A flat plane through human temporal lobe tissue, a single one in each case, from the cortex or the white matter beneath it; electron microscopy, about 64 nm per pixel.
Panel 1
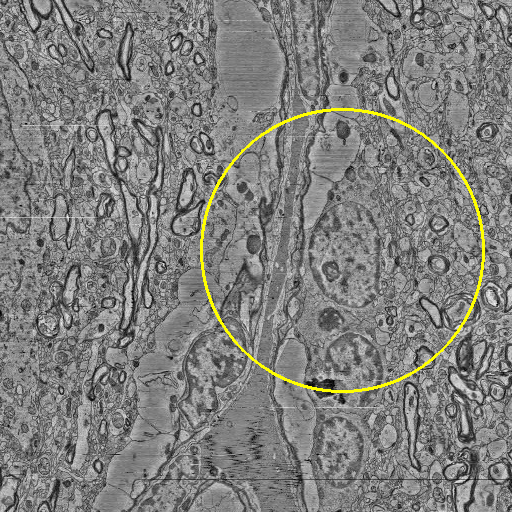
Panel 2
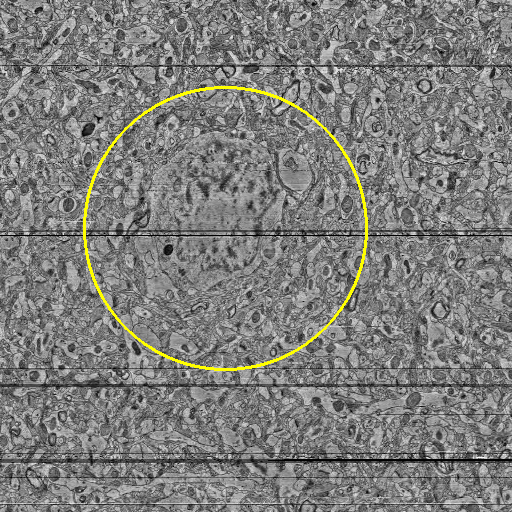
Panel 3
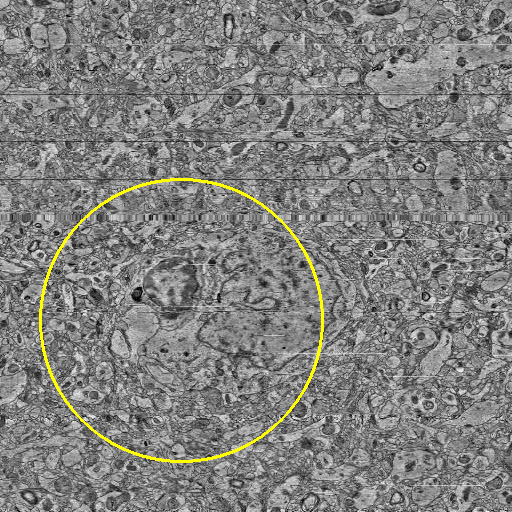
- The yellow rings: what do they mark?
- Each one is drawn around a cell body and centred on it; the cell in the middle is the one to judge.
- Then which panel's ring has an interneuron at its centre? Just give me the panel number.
2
